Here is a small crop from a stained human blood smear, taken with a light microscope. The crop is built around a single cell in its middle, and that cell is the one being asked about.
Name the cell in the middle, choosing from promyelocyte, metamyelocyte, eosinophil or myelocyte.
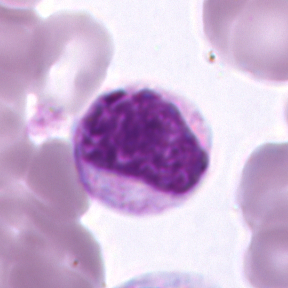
metamyelocyte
